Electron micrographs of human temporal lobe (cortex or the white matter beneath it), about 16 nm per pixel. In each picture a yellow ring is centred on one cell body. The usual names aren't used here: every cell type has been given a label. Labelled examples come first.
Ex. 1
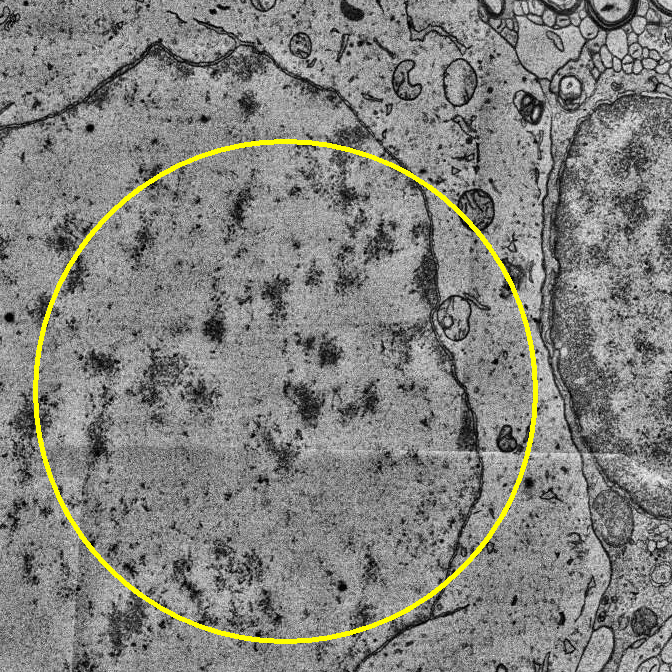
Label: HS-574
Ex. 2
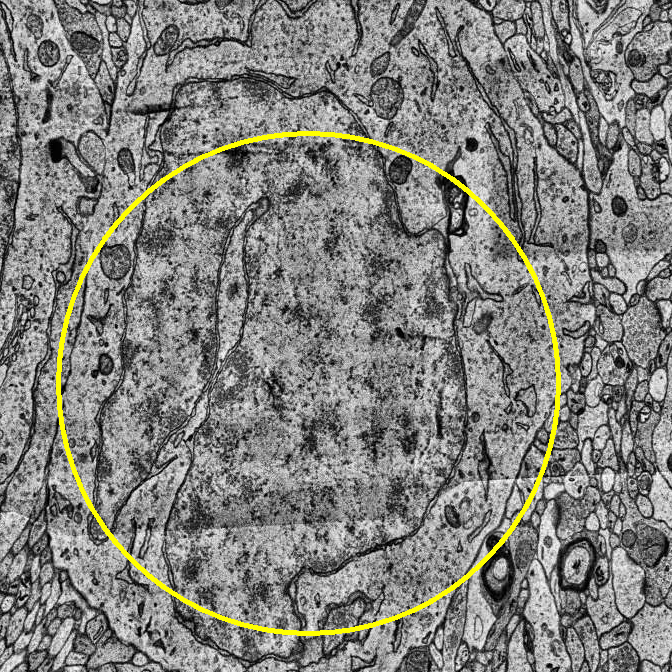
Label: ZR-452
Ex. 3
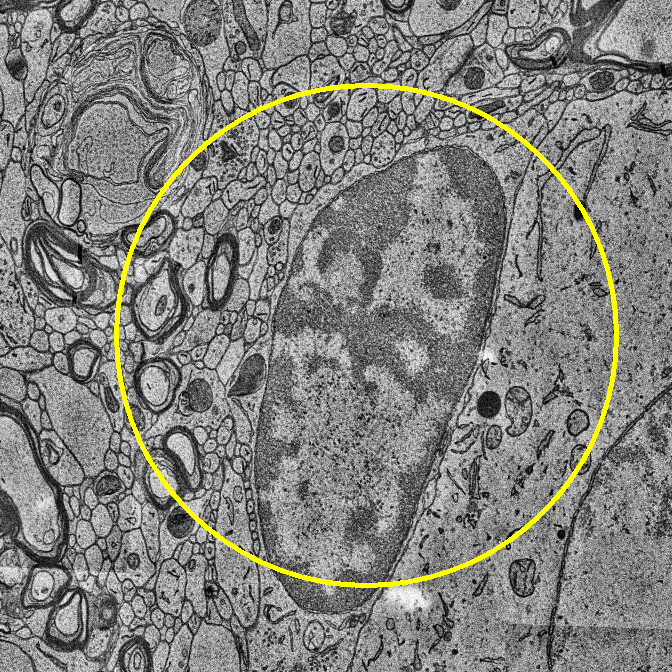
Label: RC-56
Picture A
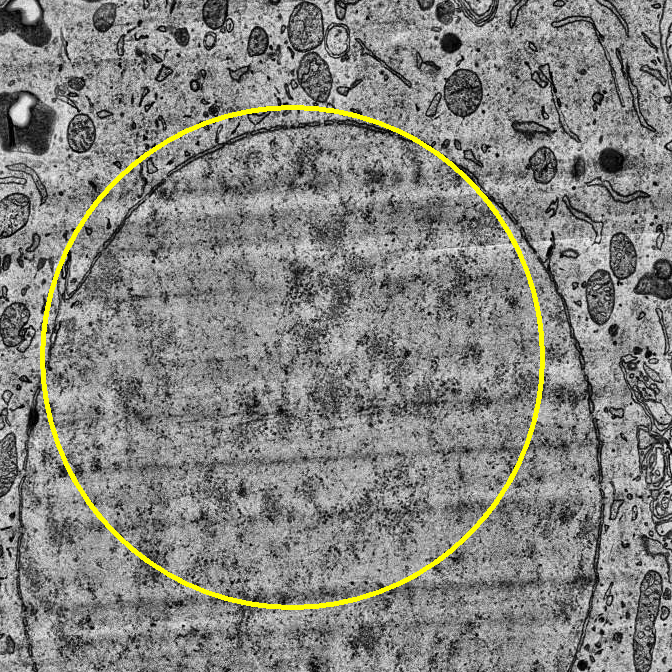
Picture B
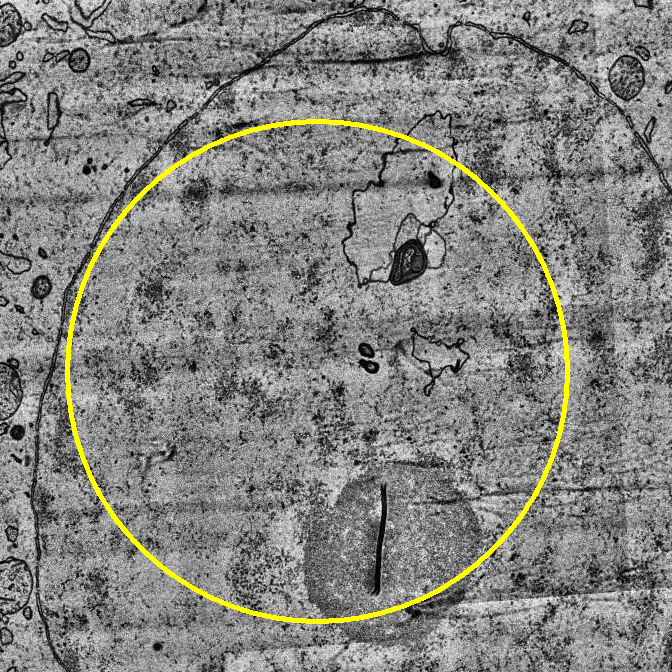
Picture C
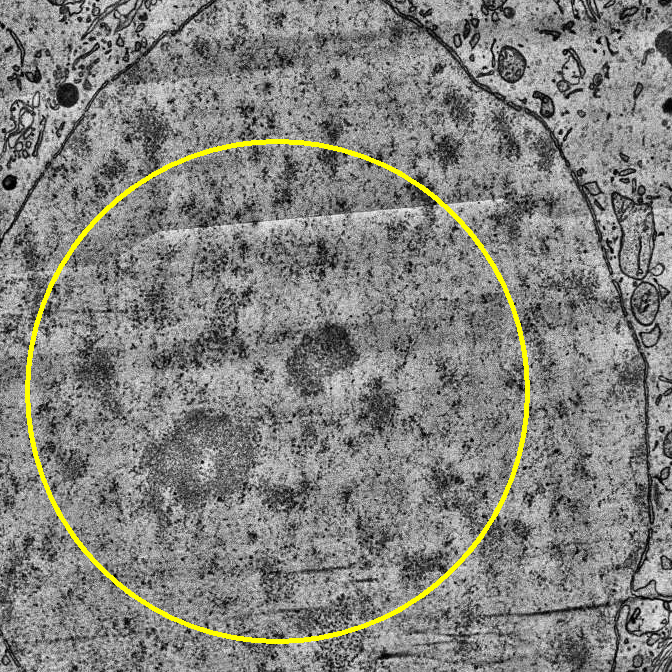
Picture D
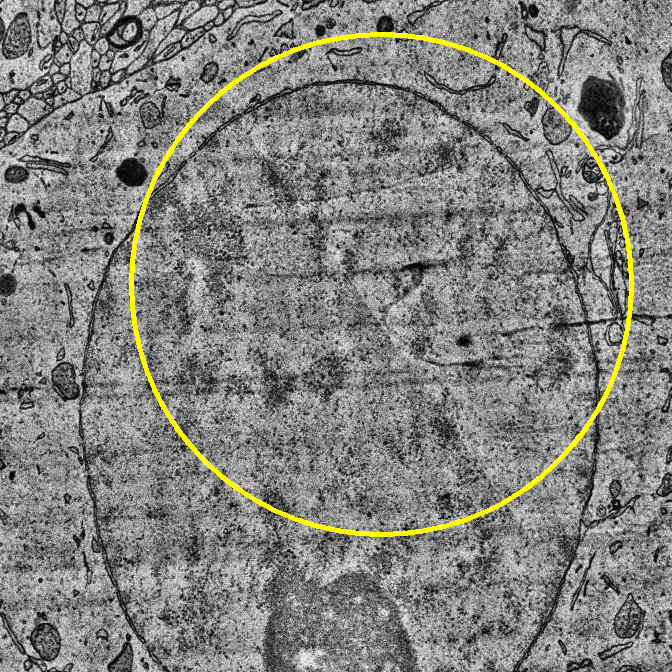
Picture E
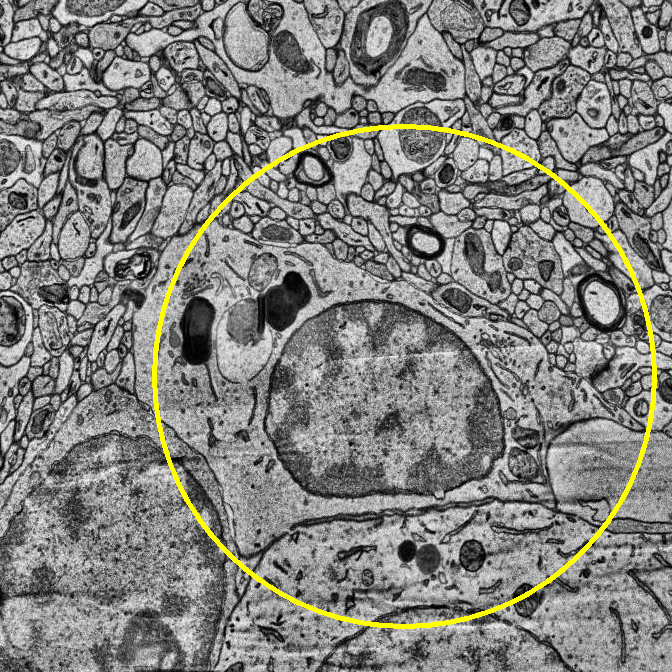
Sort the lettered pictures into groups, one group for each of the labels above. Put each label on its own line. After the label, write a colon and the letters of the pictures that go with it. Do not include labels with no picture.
HS-574: A, B, C, D
RC-56: E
